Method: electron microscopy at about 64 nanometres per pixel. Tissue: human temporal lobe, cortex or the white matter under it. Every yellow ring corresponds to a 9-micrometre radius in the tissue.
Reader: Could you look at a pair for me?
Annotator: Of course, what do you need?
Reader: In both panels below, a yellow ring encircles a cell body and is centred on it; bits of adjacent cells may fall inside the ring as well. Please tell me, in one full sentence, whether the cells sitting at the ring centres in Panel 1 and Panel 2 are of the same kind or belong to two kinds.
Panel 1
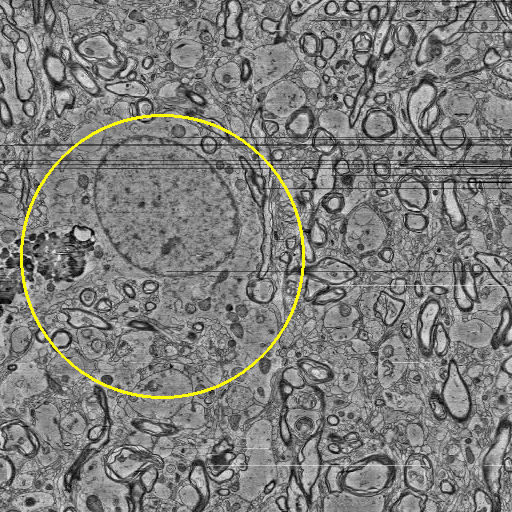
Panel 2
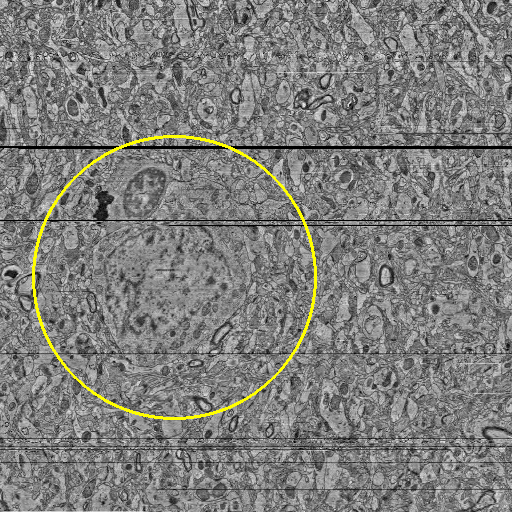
The cell at the ring's centre in Panel 1 and the one in Panel 2 belong to two kinds.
